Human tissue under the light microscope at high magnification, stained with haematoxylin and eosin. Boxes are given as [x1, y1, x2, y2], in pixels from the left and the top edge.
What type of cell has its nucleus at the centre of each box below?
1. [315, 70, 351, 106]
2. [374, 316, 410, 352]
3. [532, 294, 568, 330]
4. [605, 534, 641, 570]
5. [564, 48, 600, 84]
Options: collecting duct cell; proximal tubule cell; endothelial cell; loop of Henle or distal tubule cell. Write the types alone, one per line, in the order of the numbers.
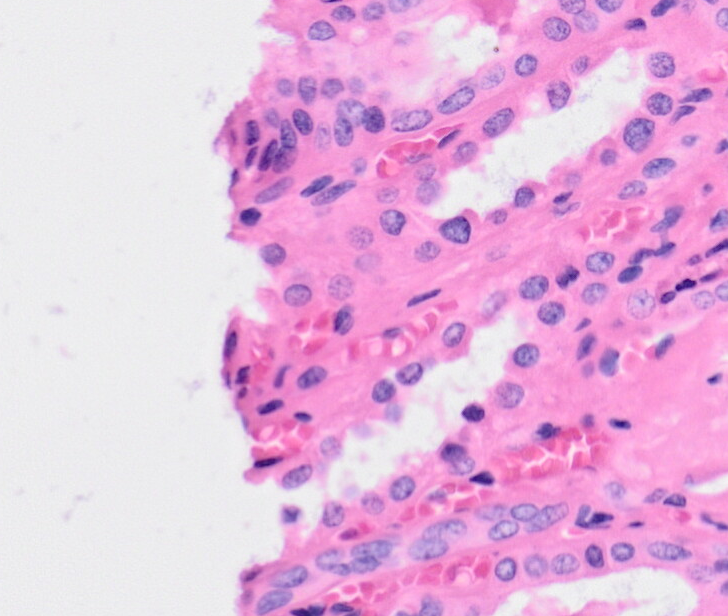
collecting duct cell
endothelial cell
loop of Henle or distal tubule cell
collecting duct cell
loop of Henle or distal tubule cell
